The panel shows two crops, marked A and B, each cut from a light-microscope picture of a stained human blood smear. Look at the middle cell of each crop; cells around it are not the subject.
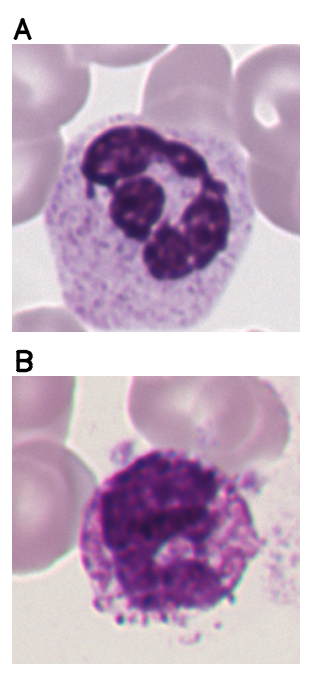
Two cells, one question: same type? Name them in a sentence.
No, the cells are a segmented neutrophil in crop A and a basophil in crop B.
